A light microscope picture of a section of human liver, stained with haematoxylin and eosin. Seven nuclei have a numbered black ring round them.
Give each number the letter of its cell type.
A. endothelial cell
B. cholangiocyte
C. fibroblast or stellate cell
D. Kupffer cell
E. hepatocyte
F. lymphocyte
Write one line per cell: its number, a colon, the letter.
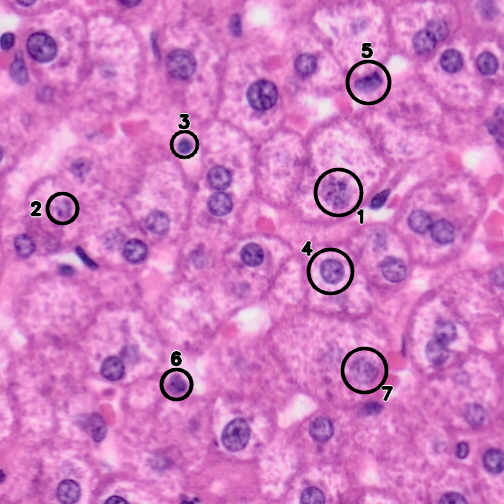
1: E
2: E
3: F
4: E
5: A
6: D
7: E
